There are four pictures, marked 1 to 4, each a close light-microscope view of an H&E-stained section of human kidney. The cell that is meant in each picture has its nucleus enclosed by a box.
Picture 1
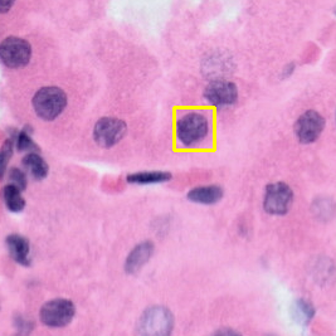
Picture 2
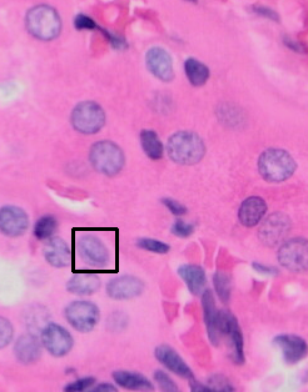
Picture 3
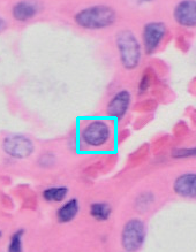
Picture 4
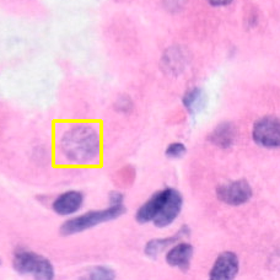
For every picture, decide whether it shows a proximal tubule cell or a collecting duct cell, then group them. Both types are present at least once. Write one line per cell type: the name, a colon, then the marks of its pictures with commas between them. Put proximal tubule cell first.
proximal tubule cell: 1, 4
collecting duct cell: 2, 3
